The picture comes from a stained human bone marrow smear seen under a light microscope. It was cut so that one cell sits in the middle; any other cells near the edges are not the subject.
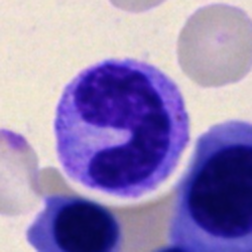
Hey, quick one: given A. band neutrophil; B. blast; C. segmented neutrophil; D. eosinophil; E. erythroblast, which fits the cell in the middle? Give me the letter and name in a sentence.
Option A gives the correct identity of the central cell, namely a band neutrophil.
